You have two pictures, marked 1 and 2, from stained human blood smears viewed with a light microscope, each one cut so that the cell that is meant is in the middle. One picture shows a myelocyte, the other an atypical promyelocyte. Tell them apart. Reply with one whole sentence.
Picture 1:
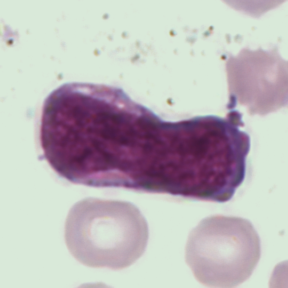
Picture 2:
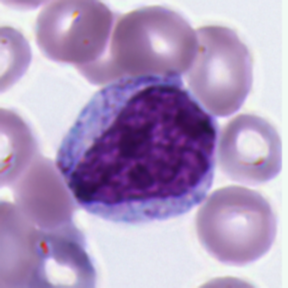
Picture 1 shows an atypical promyelocyte and picture 2 shows a myelocyte.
